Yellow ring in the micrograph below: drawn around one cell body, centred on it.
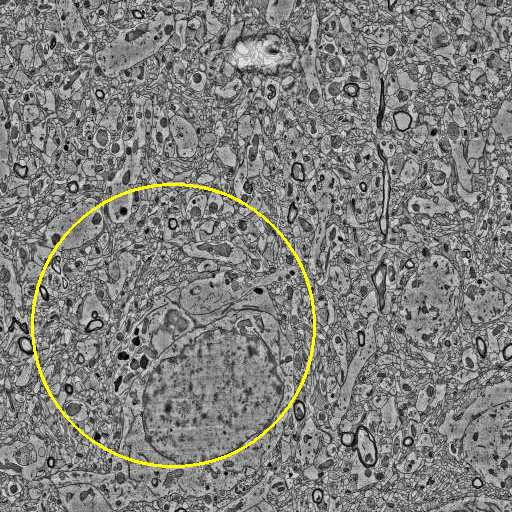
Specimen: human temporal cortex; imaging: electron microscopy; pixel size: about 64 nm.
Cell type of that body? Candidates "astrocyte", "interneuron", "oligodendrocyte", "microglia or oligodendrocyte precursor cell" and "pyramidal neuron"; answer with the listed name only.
microglia or oligodendrocyte precursor cell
